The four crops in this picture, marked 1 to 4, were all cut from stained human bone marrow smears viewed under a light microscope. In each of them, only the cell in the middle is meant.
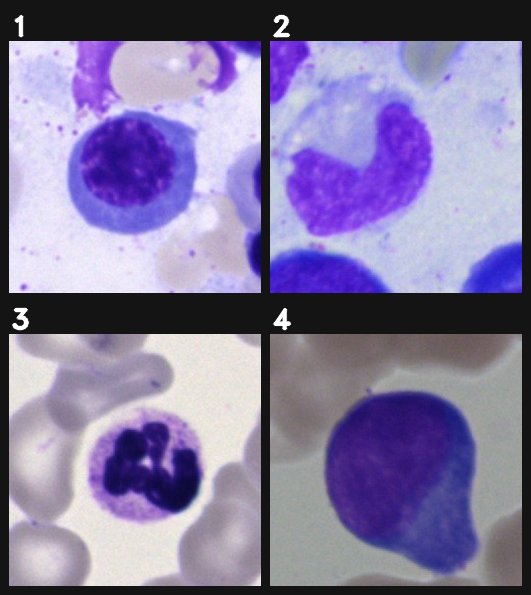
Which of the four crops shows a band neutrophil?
2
